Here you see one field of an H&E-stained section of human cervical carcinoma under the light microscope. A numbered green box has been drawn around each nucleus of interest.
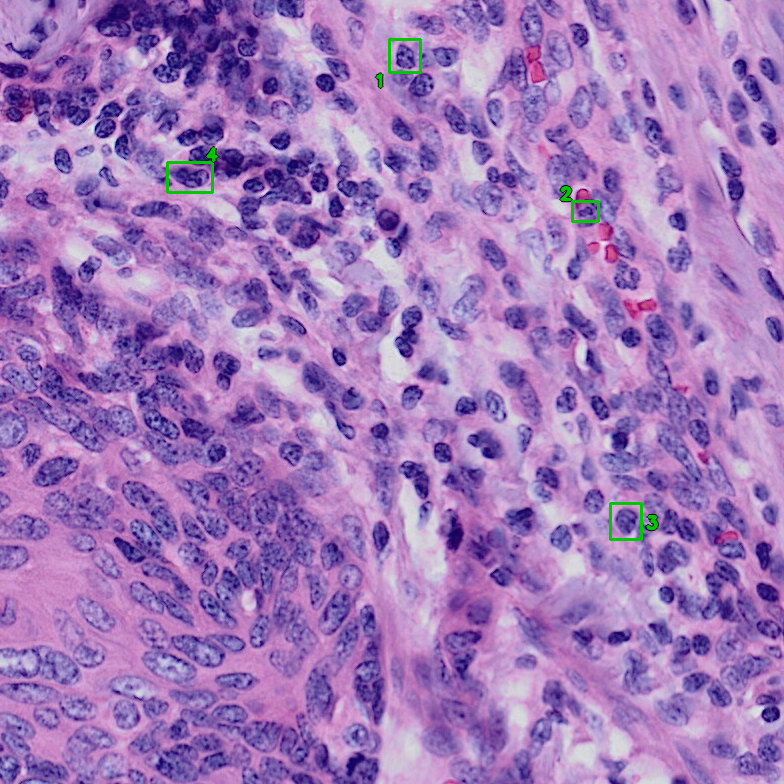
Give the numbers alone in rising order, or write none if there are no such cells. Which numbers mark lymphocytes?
1, 3, 4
